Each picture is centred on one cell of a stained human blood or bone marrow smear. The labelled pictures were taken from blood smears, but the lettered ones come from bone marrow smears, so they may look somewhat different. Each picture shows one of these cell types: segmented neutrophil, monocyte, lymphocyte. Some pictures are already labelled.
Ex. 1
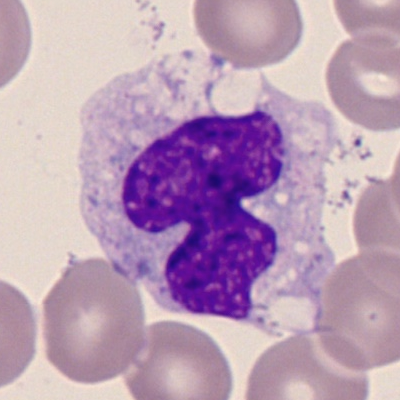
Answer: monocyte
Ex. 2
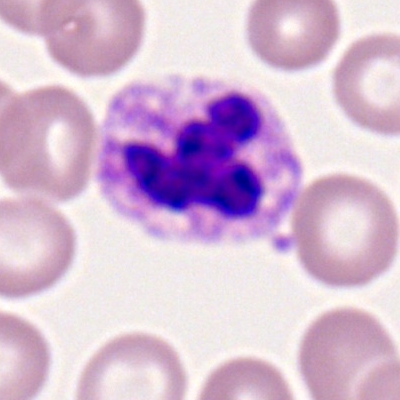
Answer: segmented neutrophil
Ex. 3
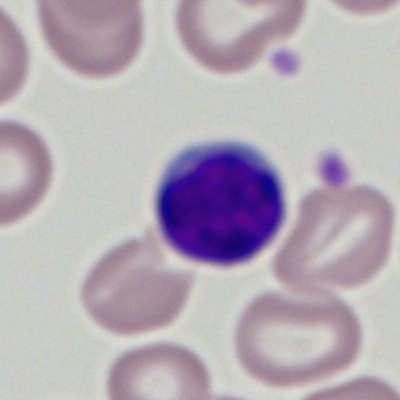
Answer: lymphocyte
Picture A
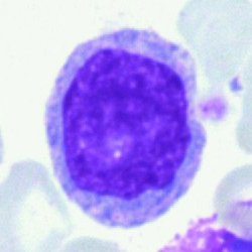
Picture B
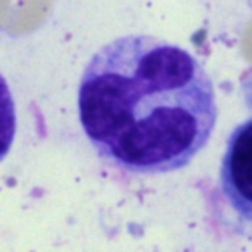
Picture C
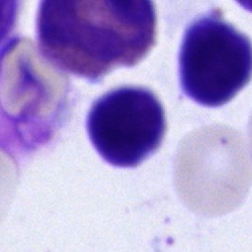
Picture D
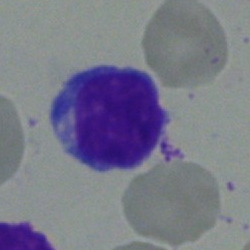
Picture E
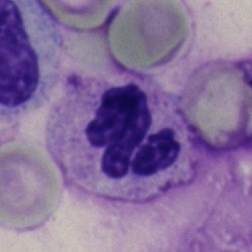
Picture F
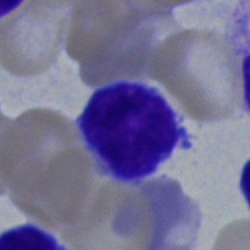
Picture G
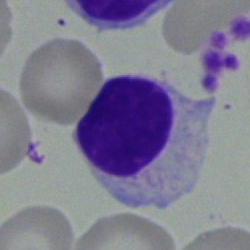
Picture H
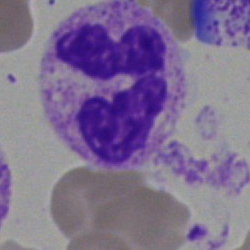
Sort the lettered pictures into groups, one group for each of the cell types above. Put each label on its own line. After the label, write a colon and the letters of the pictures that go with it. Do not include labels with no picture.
segmented neutrophil: E, H
monocyte: A, B
lymphocyte: C, D, F, G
